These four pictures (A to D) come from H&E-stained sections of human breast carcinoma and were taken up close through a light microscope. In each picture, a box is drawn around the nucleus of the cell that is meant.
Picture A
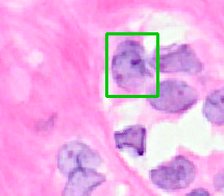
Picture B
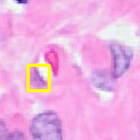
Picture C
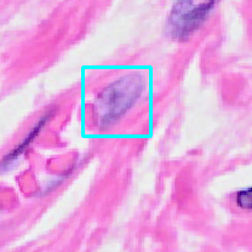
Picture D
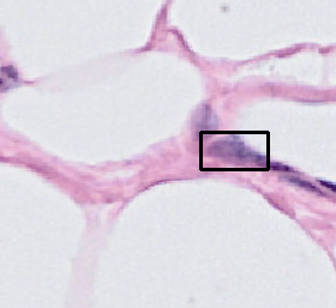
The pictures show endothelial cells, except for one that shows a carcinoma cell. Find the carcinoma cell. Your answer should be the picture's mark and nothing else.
A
